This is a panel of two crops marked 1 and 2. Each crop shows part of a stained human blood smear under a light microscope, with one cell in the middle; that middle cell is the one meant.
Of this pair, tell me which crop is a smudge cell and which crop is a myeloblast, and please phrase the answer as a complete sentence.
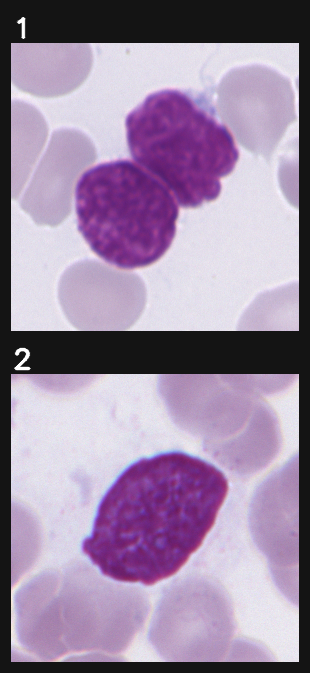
Taken crop by crop, crop 1 is a myeloblast and crop 2 is a smudge cell.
